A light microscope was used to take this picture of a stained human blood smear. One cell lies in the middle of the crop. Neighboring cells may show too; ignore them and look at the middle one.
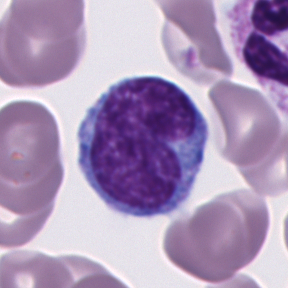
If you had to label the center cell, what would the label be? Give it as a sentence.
In the center of this field lies a monocyte.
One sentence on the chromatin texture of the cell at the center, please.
What stands out is chromatin that is coarsely clumped.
